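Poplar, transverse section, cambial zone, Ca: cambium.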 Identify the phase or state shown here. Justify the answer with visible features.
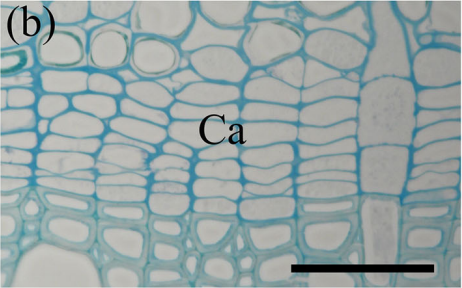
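The cambial zone is only a few cell layers wide. Cambial cells are strongly flattened radially. Cell walls are comparatively thick and darkly stained blue. That points to this answer: dormant.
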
